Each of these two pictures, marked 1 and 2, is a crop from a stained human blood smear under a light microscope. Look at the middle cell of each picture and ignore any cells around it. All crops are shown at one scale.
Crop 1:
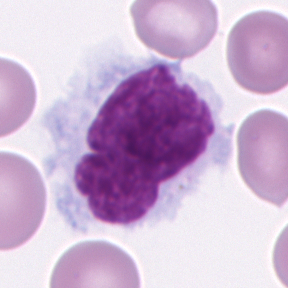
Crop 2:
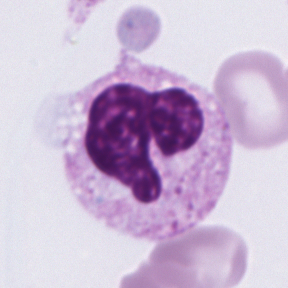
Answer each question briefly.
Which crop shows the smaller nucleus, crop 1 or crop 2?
2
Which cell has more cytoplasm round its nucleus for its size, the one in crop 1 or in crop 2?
2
